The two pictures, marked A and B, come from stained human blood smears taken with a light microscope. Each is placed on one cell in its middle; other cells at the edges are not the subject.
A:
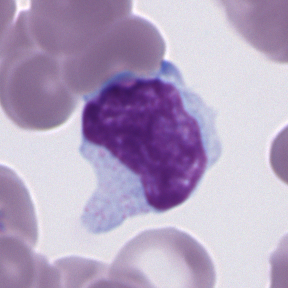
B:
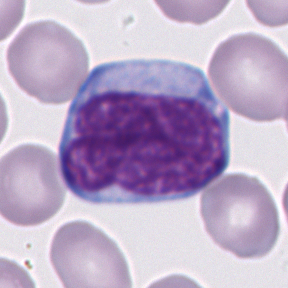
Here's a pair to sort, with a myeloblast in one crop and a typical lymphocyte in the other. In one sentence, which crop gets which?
Crop A is a typical lymphocyte, with crop B being a myeloblast.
